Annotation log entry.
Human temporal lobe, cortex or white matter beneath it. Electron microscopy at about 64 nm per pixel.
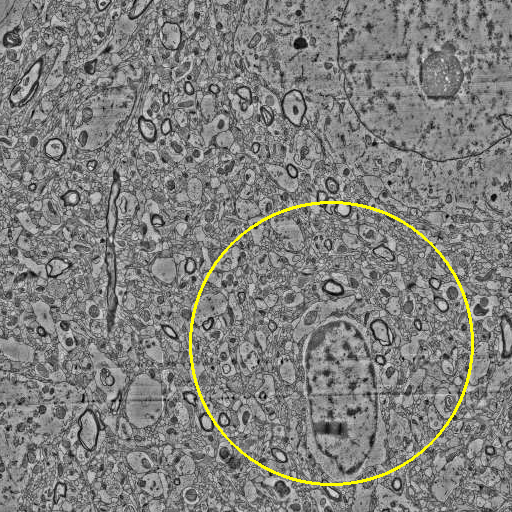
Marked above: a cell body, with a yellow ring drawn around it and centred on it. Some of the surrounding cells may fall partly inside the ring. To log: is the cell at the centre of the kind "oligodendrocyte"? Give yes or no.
No, the cell at the centre is of another kind.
